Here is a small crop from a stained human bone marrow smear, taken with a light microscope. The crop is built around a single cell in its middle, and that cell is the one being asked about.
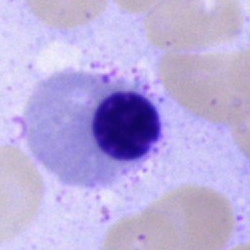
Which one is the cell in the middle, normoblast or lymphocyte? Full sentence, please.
The middle position in this crop is taken by a normoblast.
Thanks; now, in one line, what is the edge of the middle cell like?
If you check the edge, you will find it smooth without projections.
